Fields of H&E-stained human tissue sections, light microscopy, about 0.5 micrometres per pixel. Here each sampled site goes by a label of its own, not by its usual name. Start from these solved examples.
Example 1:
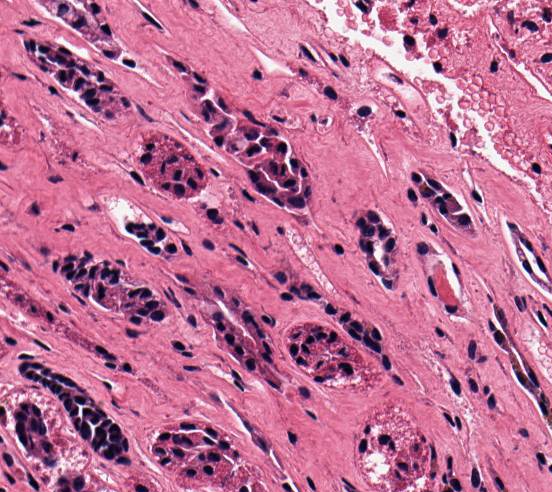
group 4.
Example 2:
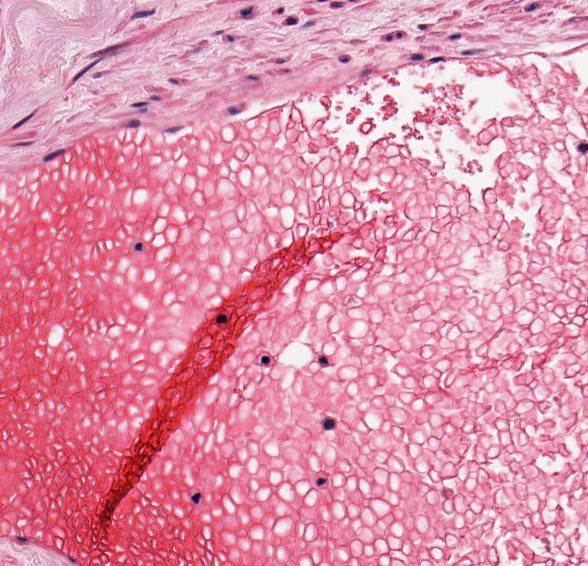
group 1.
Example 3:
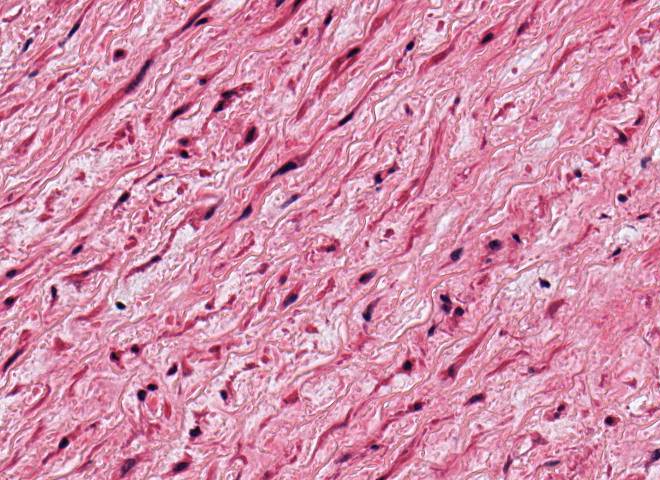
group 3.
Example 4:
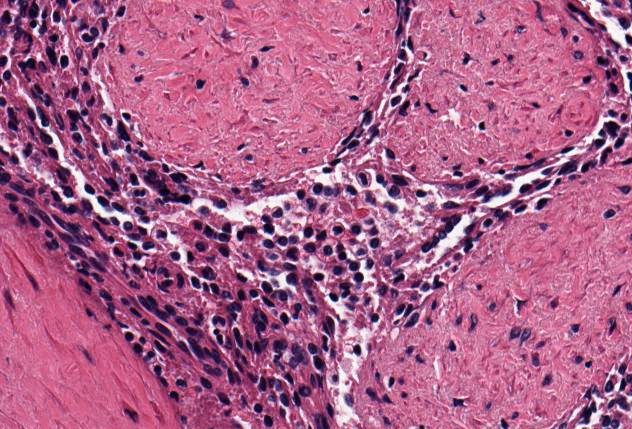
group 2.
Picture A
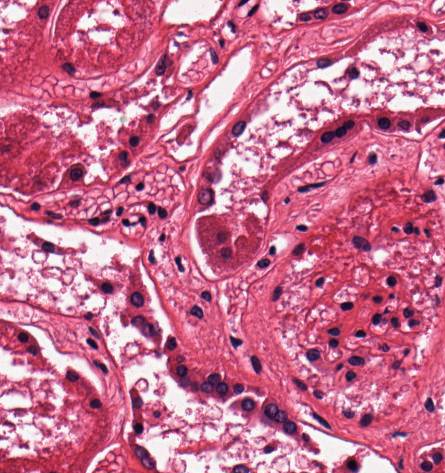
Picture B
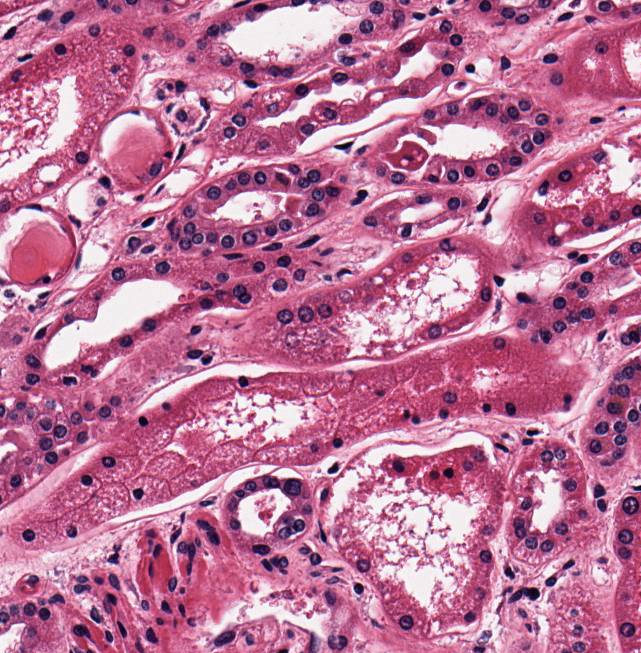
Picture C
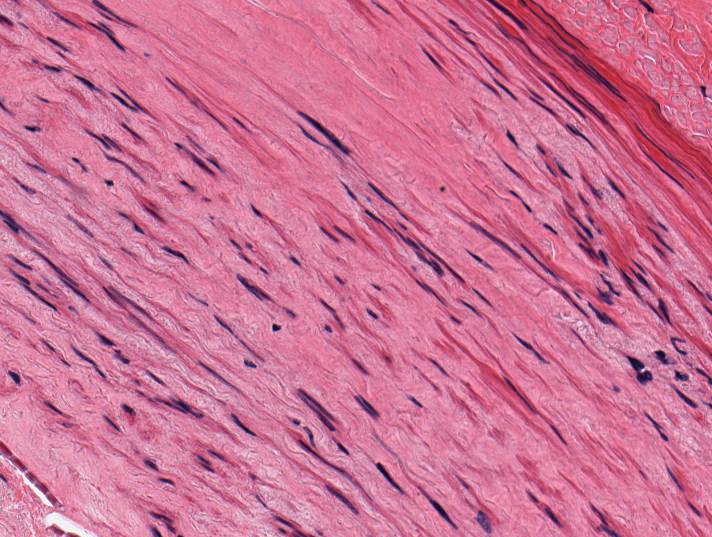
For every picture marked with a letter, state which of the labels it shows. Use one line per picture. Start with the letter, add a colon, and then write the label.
A: group 4.
B: group 4.
C: group 1.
